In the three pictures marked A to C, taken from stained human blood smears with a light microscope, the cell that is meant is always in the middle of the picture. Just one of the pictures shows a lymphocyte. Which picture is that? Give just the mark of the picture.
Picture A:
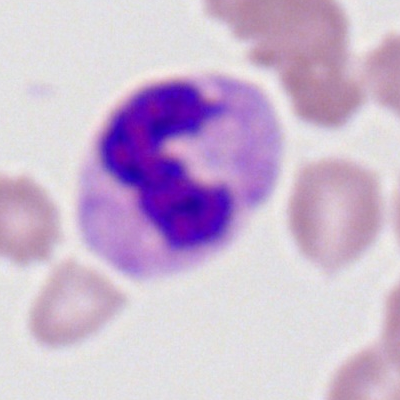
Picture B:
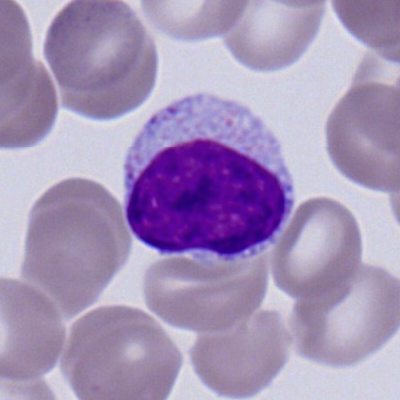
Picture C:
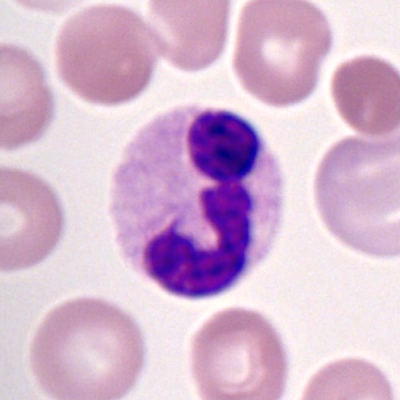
B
